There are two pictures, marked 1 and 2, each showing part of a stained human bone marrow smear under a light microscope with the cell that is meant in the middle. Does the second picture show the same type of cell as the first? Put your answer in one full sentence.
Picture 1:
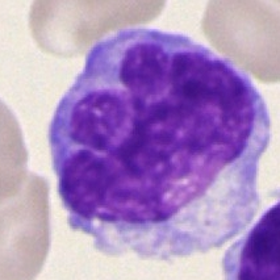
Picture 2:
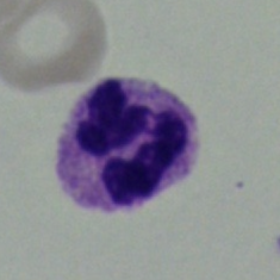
No. Picture 1 shows a monocyte, but picture 2 shows a segmented neutrophil.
